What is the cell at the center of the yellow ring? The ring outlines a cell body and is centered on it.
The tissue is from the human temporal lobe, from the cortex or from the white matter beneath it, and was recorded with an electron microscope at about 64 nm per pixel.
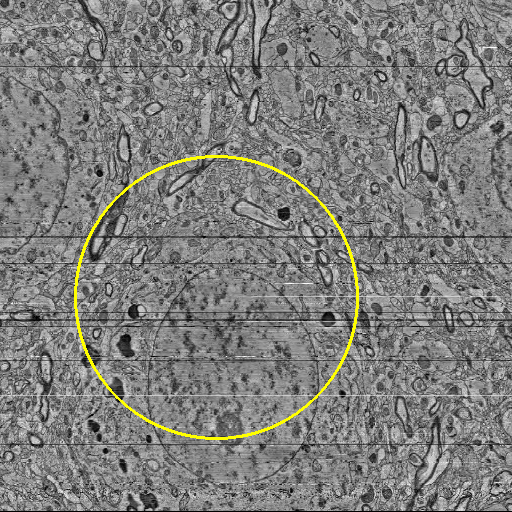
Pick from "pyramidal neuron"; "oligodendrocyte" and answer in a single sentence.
The yellow ring is centered on a pyramidal neuron.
